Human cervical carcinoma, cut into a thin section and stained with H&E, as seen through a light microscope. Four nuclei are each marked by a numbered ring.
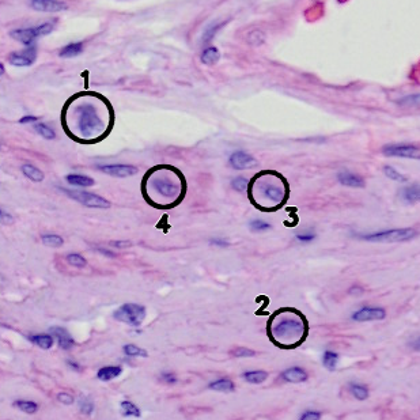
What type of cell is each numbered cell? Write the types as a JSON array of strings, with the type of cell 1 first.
["lymphocyte", "smooth muscle cell", "smooth muscle cell", "smooth muscle cell"]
